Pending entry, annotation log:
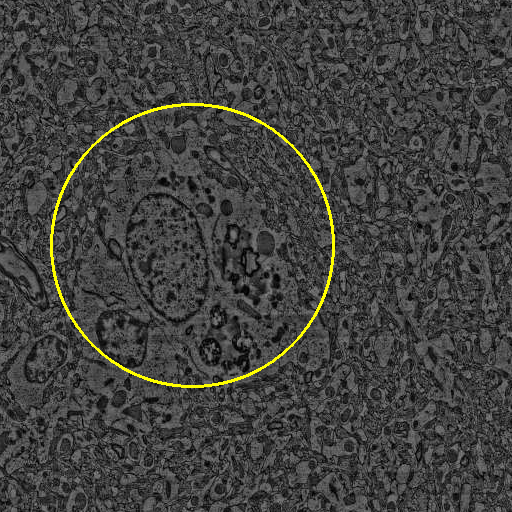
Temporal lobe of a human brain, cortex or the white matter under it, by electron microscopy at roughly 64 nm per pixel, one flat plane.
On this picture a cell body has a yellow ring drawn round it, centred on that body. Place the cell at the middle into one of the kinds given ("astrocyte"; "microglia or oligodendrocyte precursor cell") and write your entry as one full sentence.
The cell body at the middle of the yellow ring belongs to an astrocyte.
